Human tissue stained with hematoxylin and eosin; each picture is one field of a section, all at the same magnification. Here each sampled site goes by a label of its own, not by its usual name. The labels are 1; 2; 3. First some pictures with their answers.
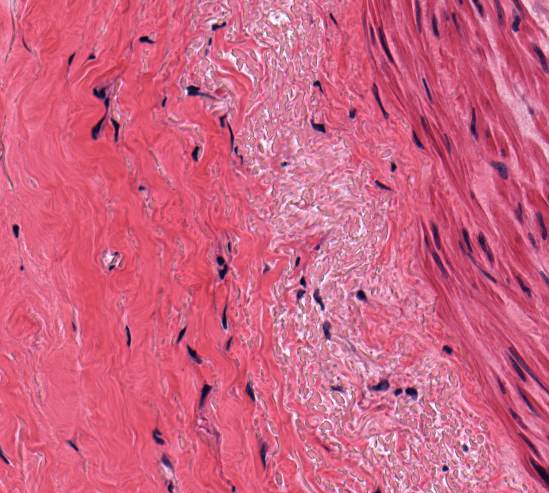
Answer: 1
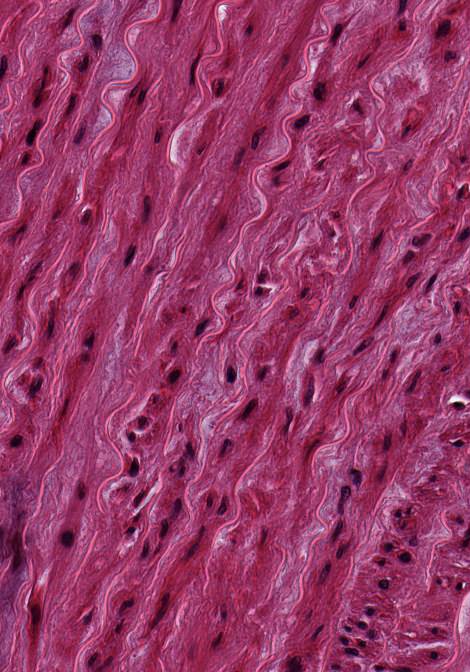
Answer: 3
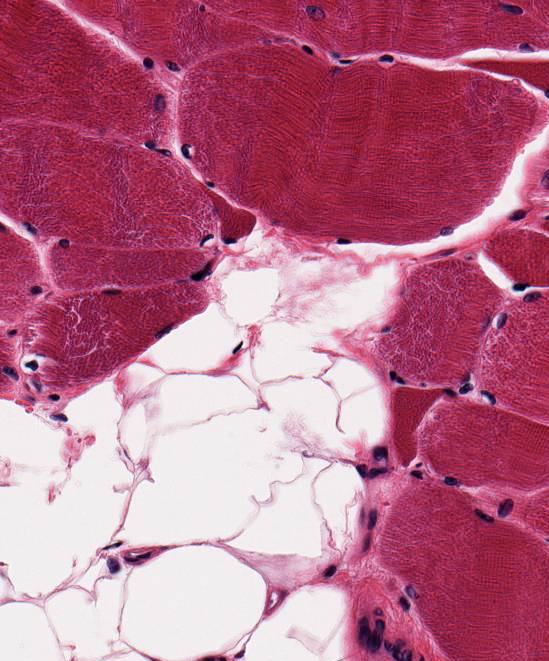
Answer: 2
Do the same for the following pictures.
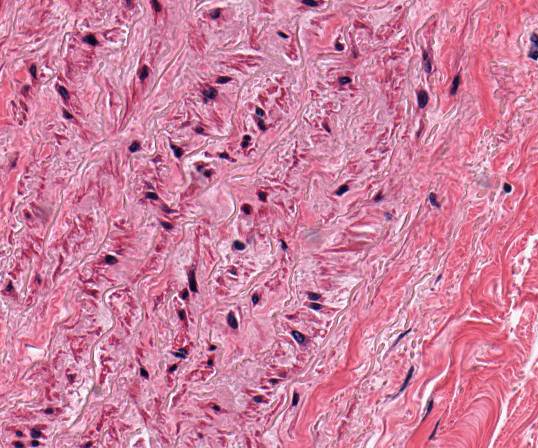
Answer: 3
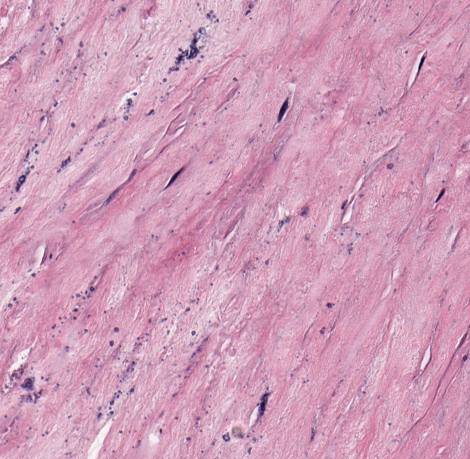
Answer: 3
